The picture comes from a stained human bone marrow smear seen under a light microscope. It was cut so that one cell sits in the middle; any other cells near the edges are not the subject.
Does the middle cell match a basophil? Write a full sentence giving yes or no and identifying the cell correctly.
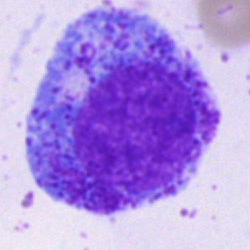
No, the cell in the middle is not a basophil but a promyelocyte.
